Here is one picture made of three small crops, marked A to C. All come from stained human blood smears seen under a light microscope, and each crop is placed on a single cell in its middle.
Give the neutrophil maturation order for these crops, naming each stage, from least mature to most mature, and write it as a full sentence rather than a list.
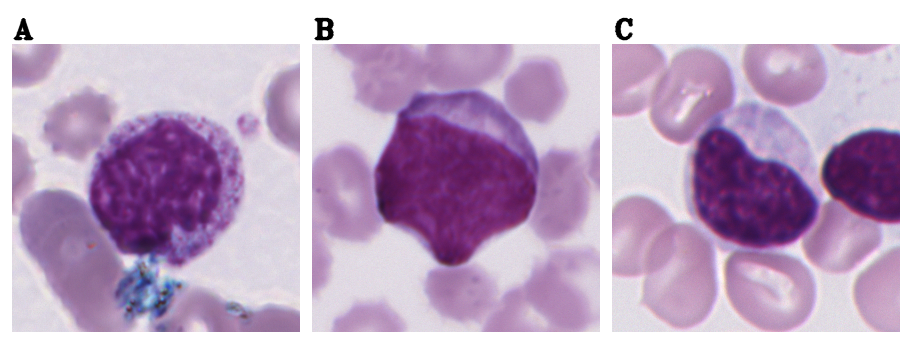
When lined up from least to most mature, the crops are crop B (a myeloblast), crop A (a metamyelocyte) and crop C (a band neutrophil).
